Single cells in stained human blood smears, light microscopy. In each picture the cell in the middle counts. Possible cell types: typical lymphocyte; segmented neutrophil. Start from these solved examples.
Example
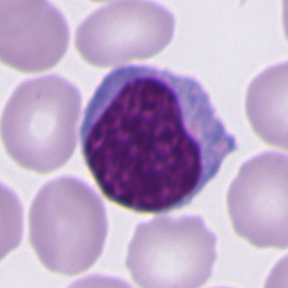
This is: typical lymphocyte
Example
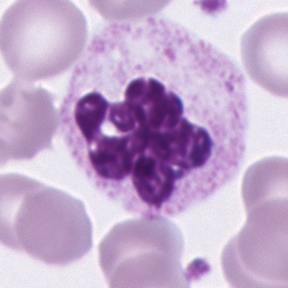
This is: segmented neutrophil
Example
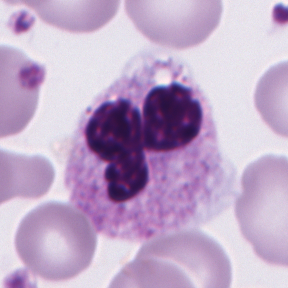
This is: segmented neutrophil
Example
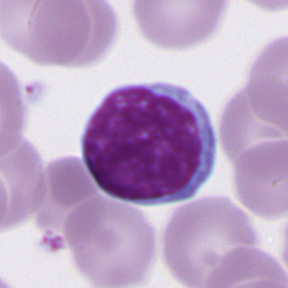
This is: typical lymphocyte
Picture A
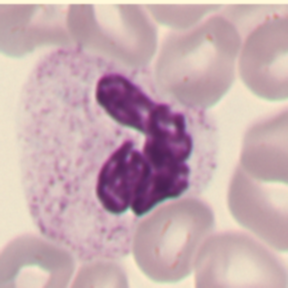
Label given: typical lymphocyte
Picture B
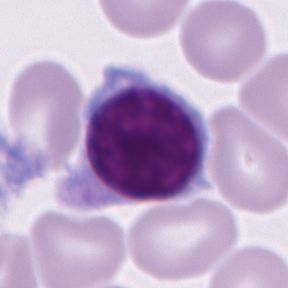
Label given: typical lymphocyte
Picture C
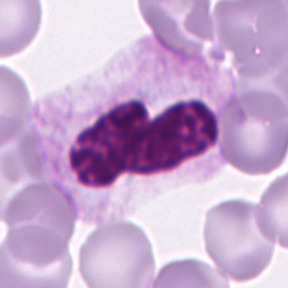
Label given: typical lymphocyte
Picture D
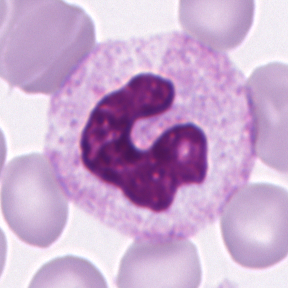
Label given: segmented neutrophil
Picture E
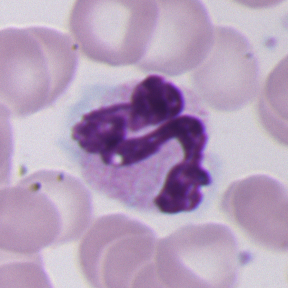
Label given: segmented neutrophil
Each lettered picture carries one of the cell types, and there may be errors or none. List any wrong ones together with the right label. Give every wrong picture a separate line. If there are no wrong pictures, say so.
A is labelled typical lymphocyte; correct label: segmented neutrophil
C is labelled typical lymphocyte; correct label: segmented neutrophil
